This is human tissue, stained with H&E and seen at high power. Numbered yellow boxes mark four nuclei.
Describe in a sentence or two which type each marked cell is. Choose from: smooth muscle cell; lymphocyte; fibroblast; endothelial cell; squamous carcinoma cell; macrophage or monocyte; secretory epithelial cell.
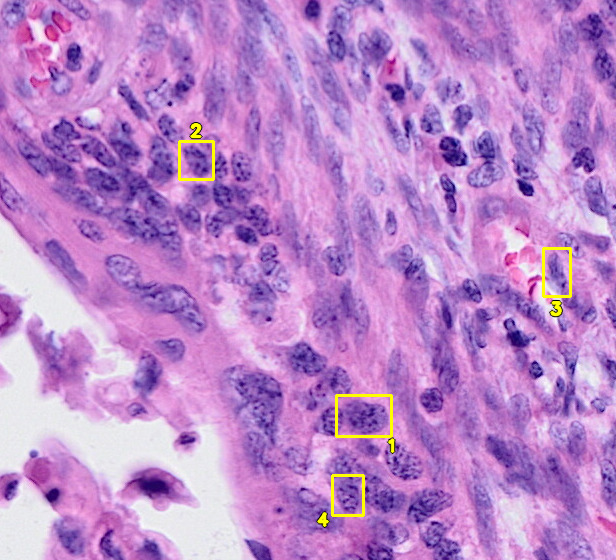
Cell 1 is a squamous carcinoma cell, cell 2 is a squamous carcinoma cell, cell 3 is an endothelial cell and cell 4 is a squamous carcinoma cell.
